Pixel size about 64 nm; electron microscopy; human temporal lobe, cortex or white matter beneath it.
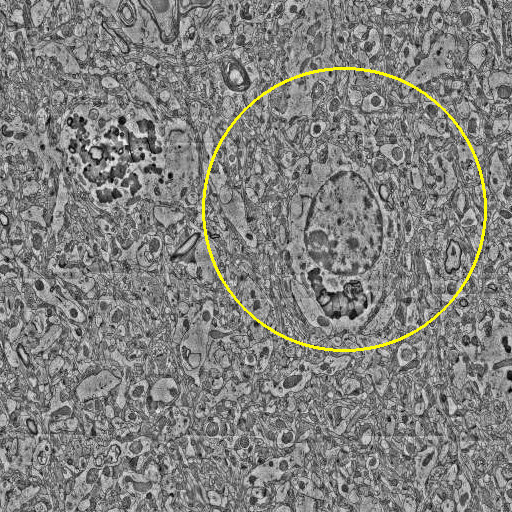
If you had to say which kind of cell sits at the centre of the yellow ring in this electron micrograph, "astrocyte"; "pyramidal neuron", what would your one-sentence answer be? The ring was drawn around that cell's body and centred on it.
The cell sitting at the centre of the ring is an astrocyte.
